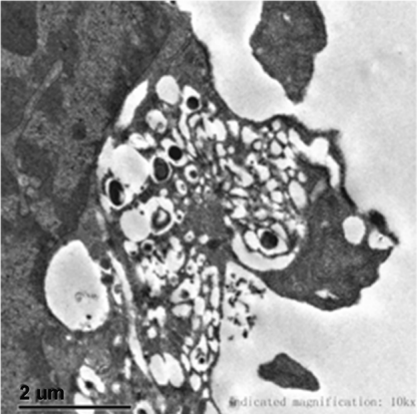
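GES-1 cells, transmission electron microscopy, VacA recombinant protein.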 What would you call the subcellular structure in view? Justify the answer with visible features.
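Numerous round clear spaces of varied size fill one side of the cell. Some of the clear spaces hold small dense round bodies. The answer: vacuoles.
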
